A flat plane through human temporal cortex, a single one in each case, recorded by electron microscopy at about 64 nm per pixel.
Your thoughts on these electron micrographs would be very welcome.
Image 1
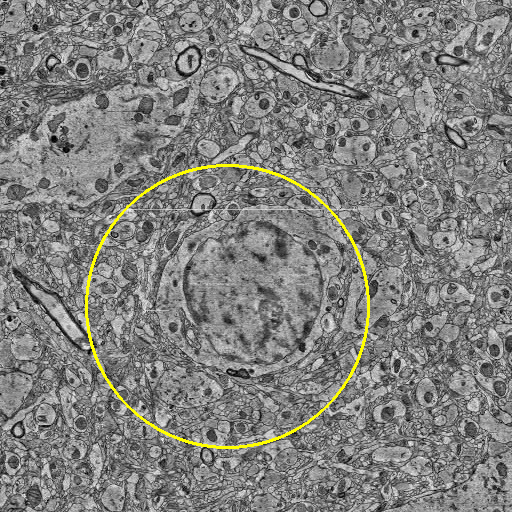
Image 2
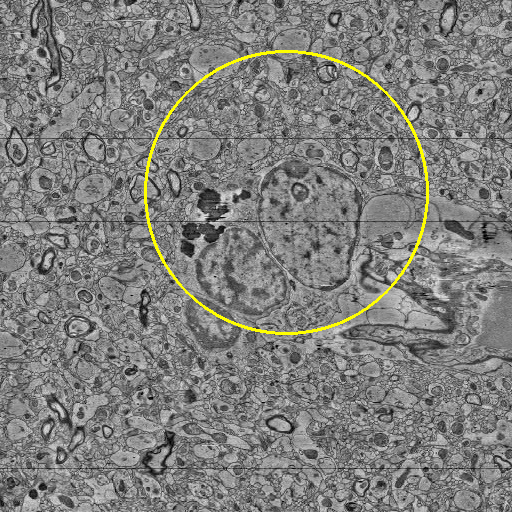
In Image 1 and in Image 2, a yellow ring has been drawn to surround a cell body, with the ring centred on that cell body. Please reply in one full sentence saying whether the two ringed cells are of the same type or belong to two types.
The ringed cells in Image 1 and Image 2 belong to two types.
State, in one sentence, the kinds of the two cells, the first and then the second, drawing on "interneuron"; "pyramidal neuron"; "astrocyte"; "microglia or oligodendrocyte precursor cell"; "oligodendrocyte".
The ring in the second picture is centred on a microglial cell or oligodendrocyte precursor cell, the ring in the first on an interneuron.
